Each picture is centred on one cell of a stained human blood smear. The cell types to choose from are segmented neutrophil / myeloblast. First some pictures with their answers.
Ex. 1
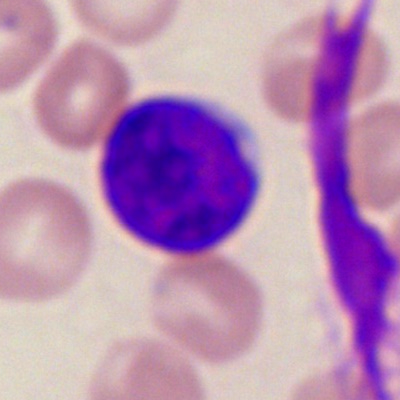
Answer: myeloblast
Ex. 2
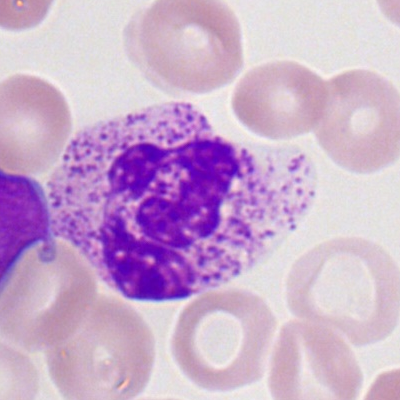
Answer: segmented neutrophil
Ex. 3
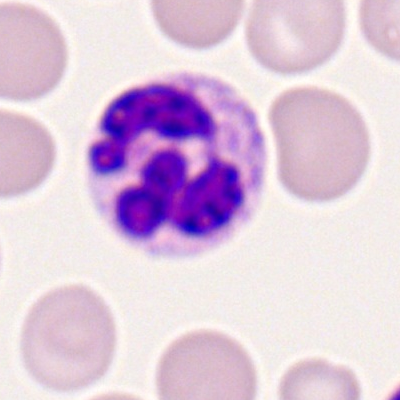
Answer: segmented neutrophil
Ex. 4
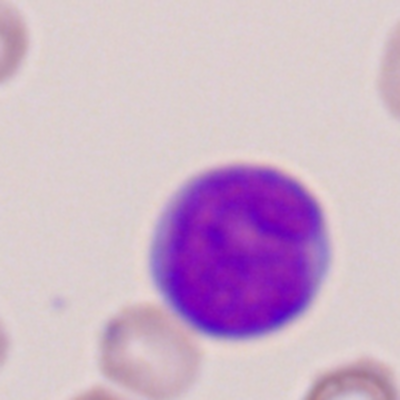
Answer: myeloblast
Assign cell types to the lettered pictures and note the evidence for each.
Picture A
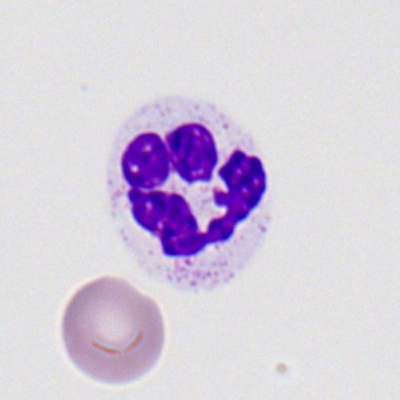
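segmented neutrophil. Evidence: The nuclear lobes are arranged in a ring around a pale central area of cytoplasm.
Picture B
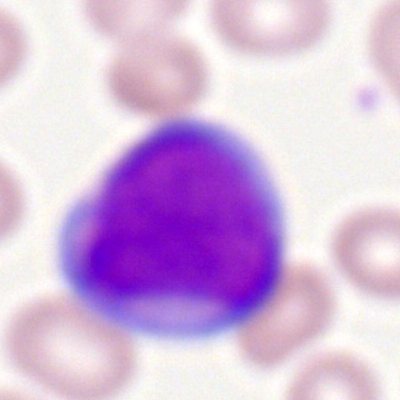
myeloblast. Evidence: The nucleus is large and fills most of the cell.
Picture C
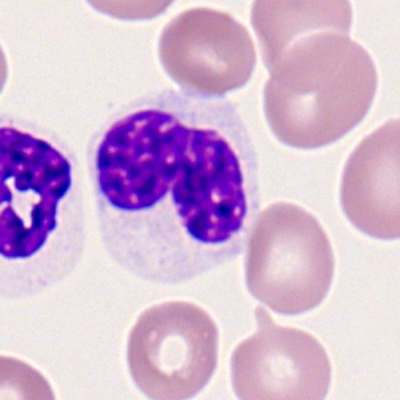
segmented neutrophil. Evidence: The cytoplasm is plentiful and pale greyish-lilac, widest below the nucleus.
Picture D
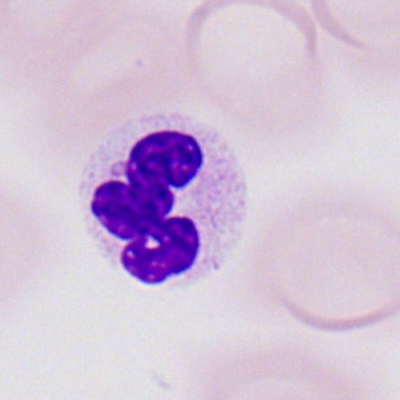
segmented neutrophil. Evidence: A moderate rim of pale pinkish cytoplasm surrounds the nucleus.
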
